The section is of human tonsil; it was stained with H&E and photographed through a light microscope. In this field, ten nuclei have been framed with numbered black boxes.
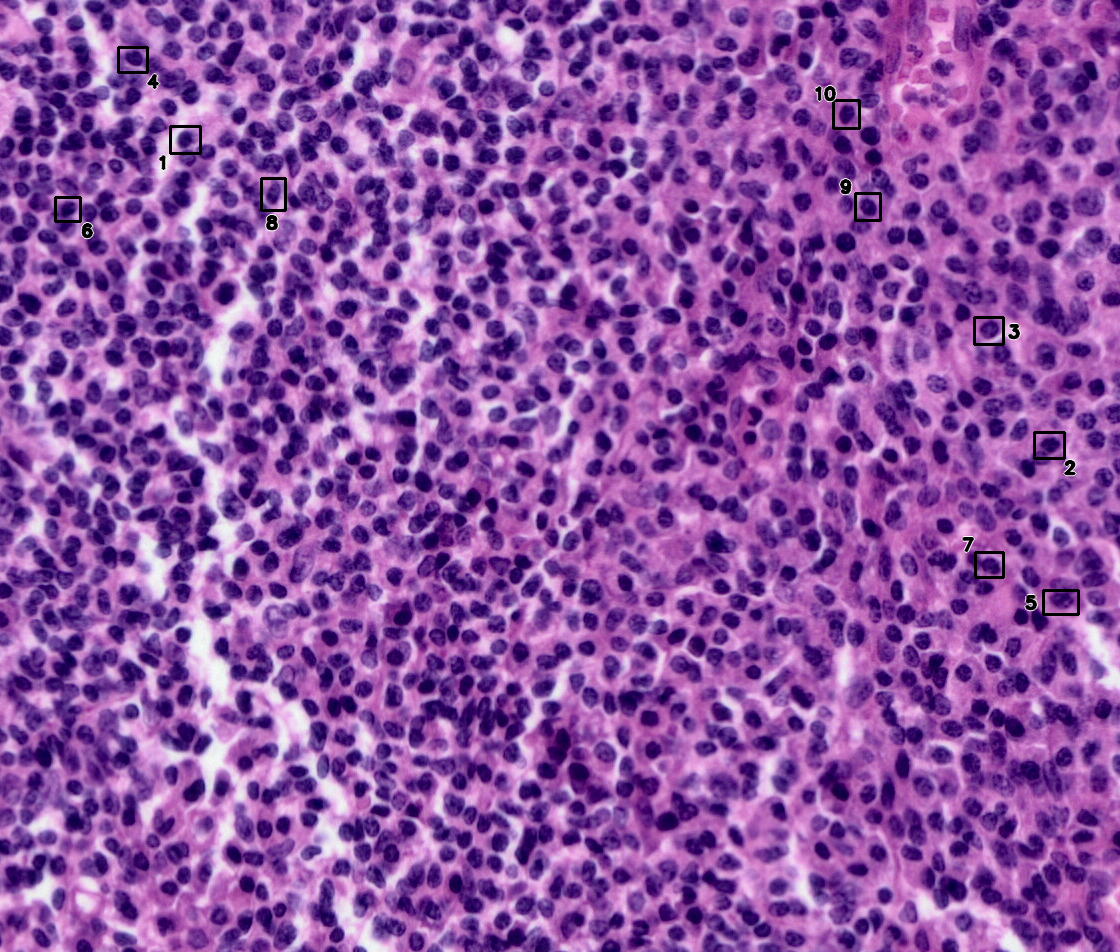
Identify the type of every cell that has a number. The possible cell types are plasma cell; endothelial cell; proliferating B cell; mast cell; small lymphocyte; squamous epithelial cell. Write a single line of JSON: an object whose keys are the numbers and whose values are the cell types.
{"1": "small lymphocyte", "2": "plasma cell", "3": "plasma cell", "4": "small lymphocyte", "5": "plasma cell", "6": "small lymphocyte", "7": "plasma cell", "8": "small lymphocyte", "9": "plasma cell", "10": "plasma cell"}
